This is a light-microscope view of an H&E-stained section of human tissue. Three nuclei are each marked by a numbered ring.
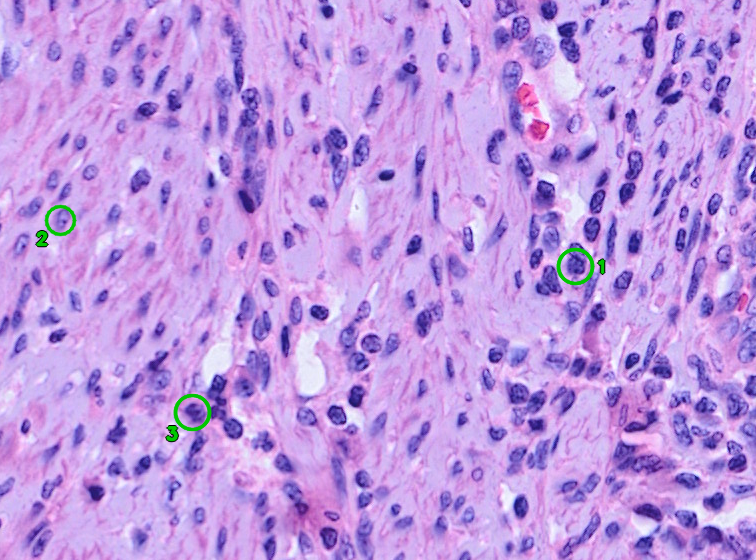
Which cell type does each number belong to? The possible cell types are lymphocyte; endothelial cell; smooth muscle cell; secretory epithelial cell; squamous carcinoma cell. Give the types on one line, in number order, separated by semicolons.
lymphocyte; smooth muscle cell; lymphocyte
